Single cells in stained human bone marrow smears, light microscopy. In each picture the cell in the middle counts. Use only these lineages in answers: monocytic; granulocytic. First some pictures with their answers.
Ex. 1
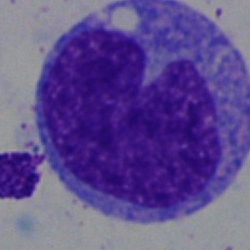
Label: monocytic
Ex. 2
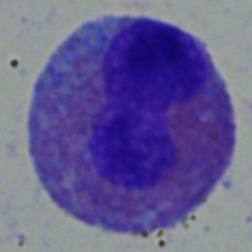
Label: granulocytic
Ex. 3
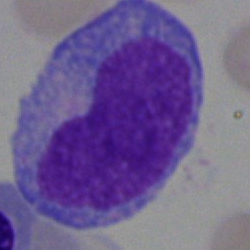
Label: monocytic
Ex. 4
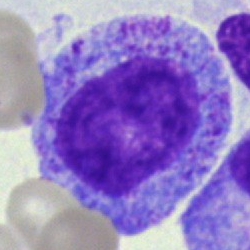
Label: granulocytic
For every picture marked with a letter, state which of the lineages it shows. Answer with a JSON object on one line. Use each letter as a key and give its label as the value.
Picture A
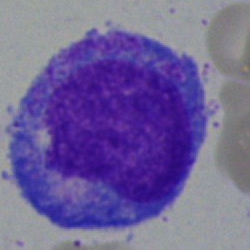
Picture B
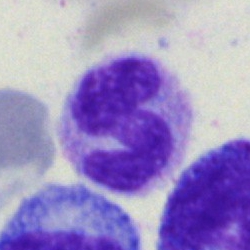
{"A": "granulocytic", "B": "monocytic"}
